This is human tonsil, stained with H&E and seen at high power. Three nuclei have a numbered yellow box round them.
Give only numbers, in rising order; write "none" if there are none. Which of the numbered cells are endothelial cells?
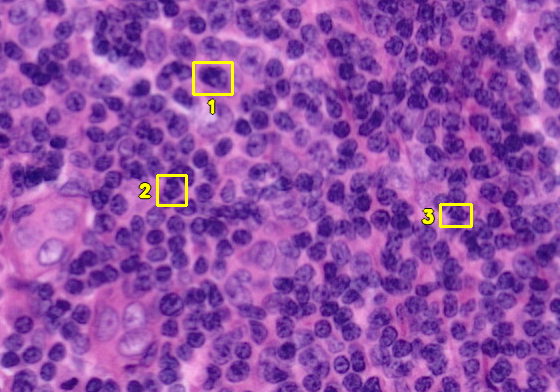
none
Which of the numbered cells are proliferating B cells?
1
